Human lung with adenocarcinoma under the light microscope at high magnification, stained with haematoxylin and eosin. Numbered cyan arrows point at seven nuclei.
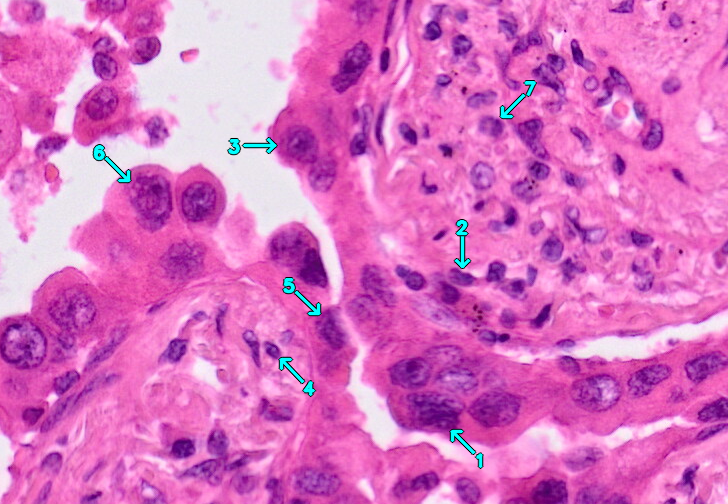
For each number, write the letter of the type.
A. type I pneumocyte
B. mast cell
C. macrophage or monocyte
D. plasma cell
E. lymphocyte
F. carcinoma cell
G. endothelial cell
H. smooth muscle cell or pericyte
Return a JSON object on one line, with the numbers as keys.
{"1": "F", "2": "E", "3": "F", "4": "E", "5": "F", "6": "F", "7": "D"}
